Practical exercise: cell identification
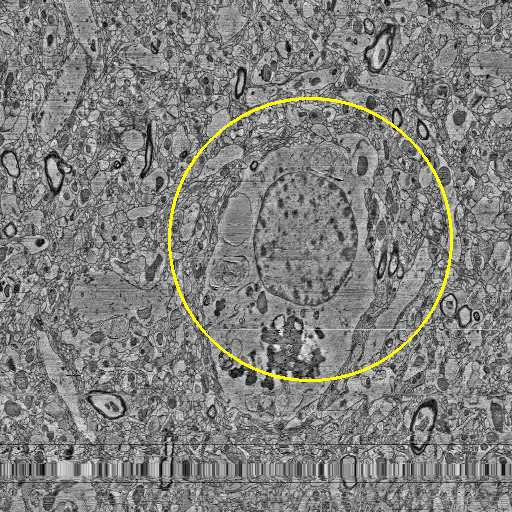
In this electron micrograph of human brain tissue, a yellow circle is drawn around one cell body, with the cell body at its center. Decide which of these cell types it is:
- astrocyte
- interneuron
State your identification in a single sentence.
The ringed cell is an astrocyte.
